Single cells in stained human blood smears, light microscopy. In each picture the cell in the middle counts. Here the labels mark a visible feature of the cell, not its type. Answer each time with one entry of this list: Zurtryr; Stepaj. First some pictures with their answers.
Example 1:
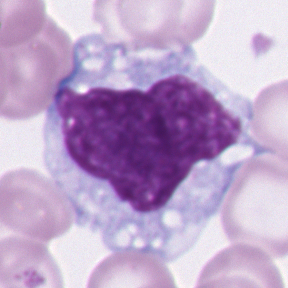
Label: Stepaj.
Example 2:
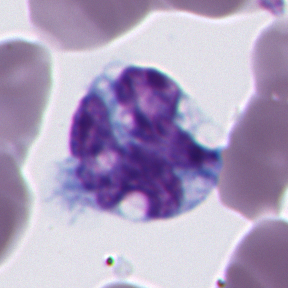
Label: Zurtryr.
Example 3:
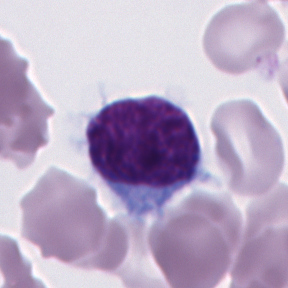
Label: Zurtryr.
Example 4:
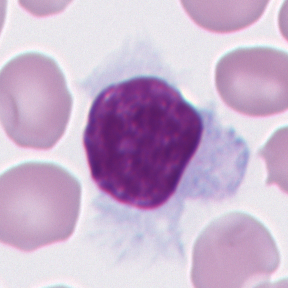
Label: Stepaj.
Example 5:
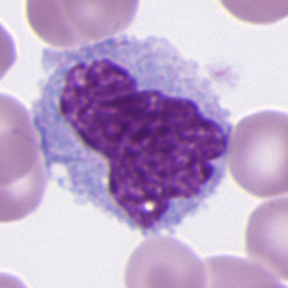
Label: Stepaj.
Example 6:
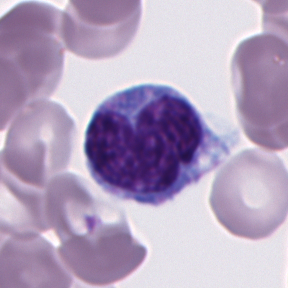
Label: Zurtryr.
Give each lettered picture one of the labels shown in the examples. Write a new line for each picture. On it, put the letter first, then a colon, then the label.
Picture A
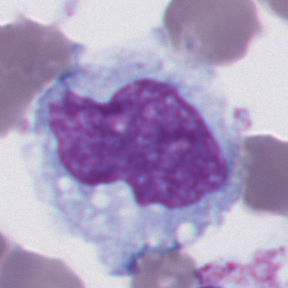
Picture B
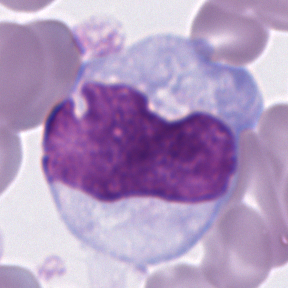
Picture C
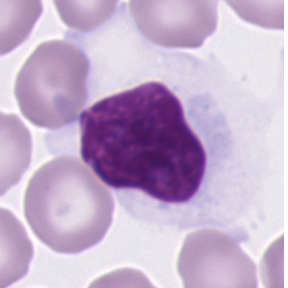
A: Stepaj.
B: Stepaj.
C: Stepaj.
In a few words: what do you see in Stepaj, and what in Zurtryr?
In Stepaj: abundant cytoplasm. In Zurtryr: scant cytoplasm.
